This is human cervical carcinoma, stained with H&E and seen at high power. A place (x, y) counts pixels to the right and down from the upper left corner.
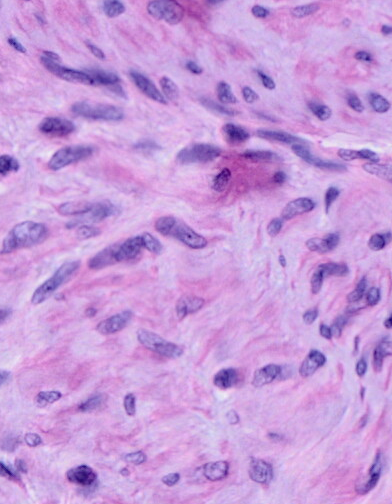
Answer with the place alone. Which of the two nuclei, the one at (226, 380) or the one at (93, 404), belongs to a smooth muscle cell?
(93, 404)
